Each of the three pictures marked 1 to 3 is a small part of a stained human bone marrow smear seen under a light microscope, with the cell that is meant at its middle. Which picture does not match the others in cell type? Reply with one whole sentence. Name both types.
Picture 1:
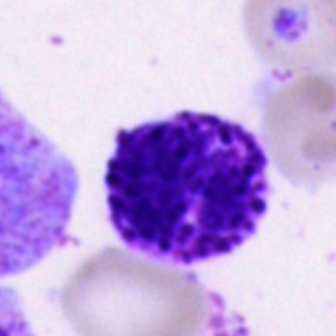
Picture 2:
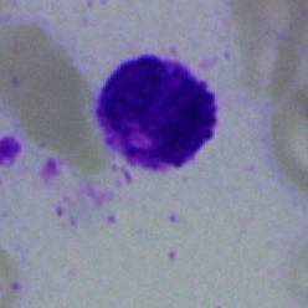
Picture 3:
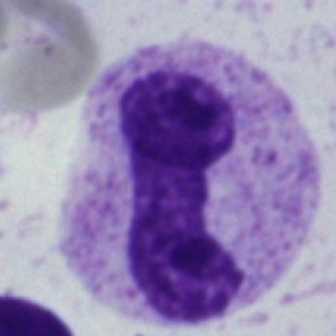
The different one is picture 3; it shows a band neutrophil, whereas all the others show basophils.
